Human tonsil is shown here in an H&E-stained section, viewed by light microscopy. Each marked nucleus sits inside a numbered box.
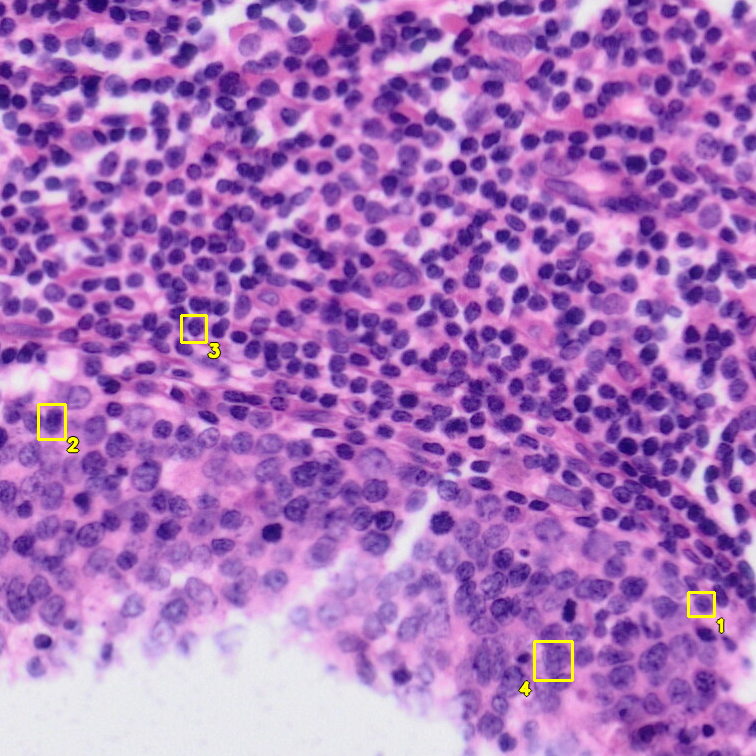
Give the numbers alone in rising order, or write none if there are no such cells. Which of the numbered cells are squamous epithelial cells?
none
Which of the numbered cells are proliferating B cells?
1, 2, 4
